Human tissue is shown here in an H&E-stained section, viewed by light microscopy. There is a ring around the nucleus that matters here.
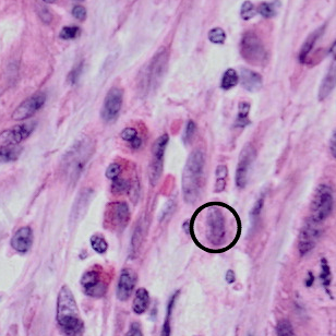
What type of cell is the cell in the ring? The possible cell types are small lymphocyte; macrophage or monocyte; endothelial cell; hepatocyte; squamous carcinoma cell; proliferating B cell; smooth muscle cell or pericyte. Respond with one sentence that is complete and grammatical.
In the stained section, the cell in the ring is a macrophage or monocyte.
